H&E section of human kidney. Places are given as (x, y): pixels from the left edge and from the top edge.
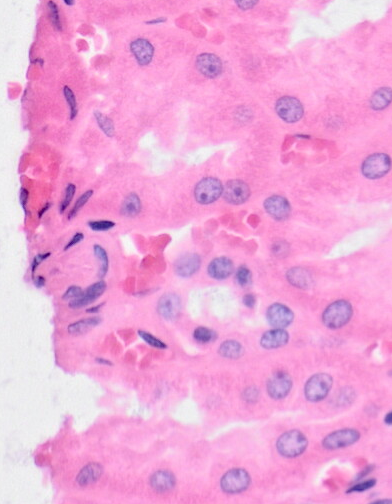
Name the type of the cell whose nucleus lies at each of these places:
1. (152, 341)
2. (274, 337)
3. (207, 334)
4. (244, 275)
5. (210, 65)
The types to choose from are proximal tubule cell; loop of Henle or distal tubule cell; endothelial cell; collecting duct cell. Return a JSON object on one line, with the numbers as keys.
{"1": "endothelial cell", "2": "collecting duct cell", "3": "collecting duct cell", "4": "collecting duct cell", "5": "proximal tubule cell"}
